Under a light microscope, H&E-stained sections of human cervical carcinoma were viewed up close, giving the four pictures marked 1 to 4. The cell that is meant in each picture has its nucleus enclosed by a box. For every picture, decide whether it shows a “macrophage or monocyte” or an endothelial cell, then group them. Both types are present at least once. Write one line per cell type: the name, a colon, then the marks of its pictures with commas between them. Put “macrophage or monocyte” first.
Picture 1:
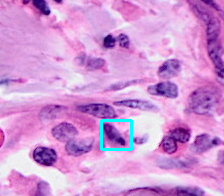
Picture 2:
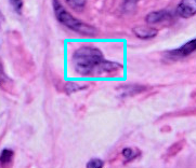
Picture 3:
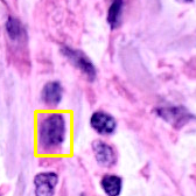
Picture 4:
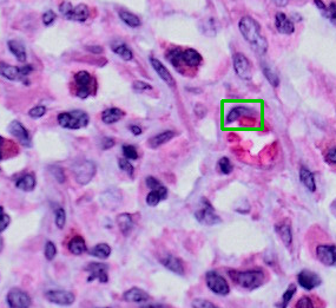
macrophage or monocyte: 1, 2, 3
endothelial cell: 4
